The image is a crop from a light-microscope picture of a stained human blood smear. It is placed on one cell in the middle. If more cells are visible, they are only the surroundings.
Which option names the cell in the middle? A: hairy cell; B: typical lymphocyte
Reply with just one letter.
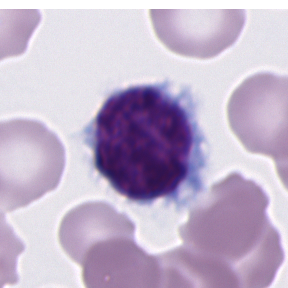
A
